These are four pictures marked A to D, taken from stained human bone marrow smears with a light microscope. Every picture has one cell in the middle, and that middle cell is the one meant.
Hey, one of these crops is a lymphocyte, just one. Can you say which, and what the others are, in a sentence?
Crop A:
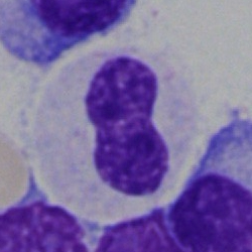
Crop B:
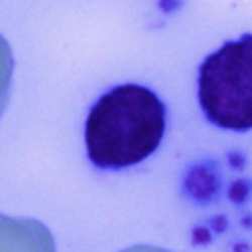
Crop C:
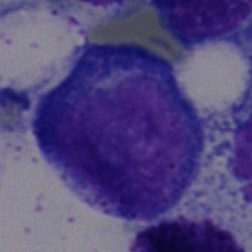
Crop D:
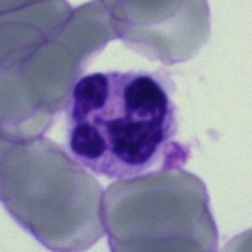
Crop B has a lymphocyte as its central cell, while crop A is a band neutrophil, crop C is a proerythroblast and crop D is a segmented neutrophil.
